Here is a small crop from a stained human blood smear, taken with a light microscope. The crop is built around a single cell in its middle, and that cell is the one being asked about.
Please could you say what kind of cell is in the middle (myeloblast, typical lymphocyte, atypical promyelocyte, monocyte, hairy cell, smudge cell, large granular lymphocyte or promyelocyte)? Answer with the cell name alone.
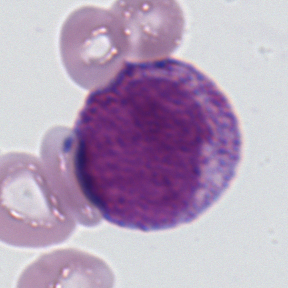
promyelocyte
